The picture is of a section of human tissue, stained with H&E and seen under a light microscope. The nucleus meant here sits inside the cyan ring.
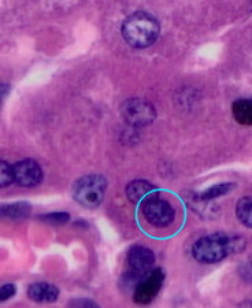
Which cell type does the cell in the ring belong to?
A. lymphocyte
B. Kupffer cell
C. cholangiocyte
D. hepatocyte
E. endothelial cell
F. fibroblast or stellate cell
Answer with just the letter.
C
